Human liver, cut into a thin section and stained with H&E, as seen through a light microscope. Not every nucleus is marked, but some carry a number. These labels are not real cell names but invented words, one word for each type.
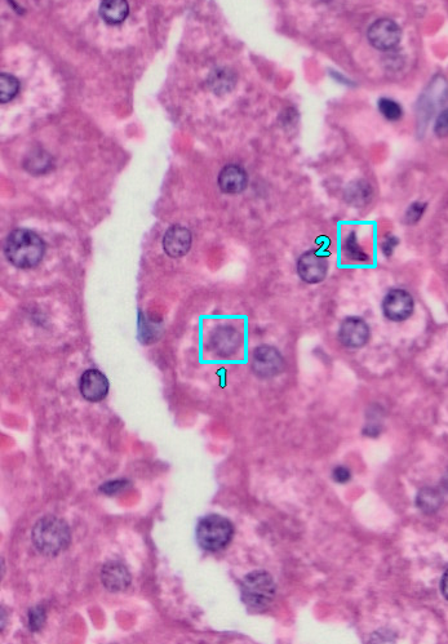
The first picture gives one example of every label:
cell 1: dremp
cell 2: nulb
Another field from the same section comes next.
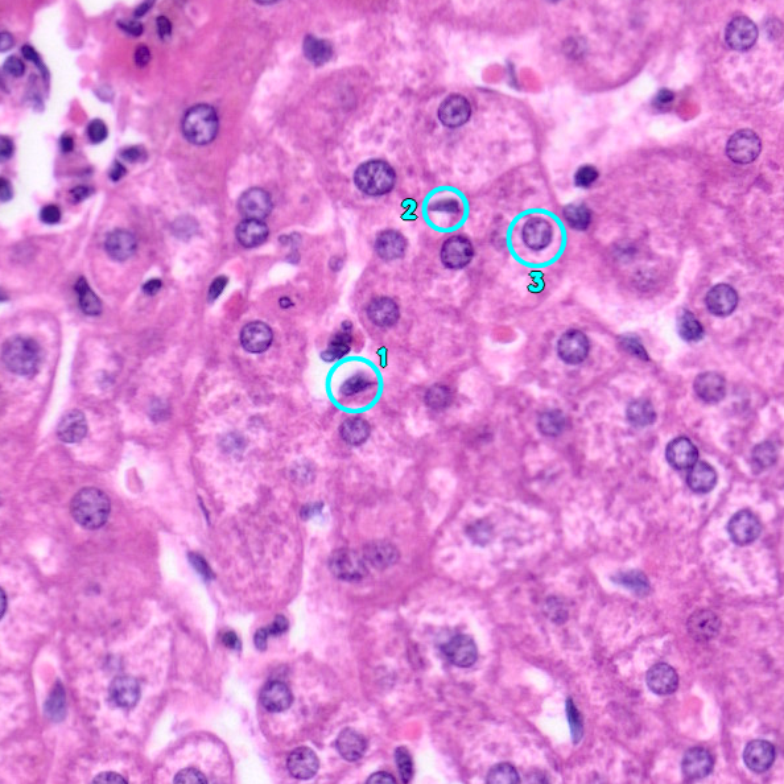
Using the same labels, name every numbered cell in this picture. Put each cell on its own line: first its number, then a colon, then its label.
1: nulb
2: nulb
3: dremp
